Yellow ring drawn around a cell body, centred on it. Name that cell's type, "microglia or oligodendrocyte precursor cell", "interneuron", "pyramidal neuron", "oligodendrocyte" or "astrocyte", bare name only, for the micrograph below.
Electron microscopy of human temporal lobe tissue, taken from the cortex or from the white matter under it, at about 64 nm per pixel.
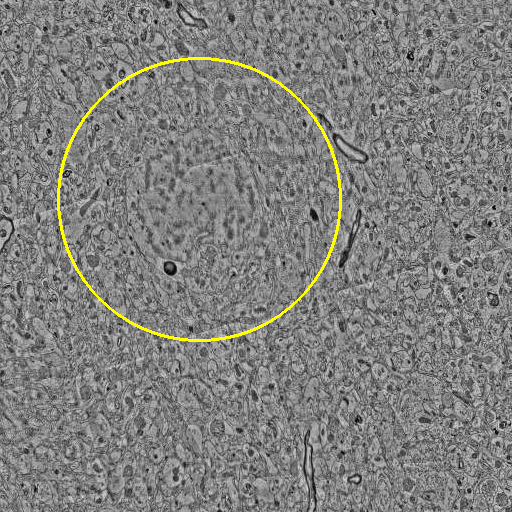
interneuron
